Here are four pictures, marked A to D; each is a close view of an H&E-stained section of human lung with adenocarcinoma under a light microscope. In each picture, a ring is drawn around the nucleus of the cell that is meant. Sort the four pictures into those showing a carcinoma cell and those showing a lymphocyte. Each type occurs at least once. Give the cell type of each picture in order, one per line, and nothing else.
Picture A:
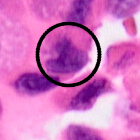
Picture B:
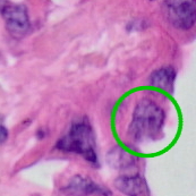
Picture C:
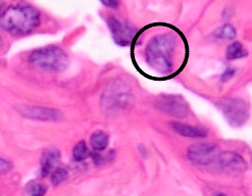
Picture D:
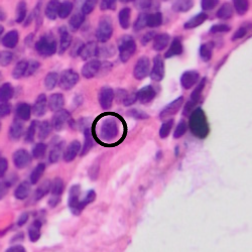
carcinoma cell
carcinoma cell
carcinoma cell
lymphocyte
